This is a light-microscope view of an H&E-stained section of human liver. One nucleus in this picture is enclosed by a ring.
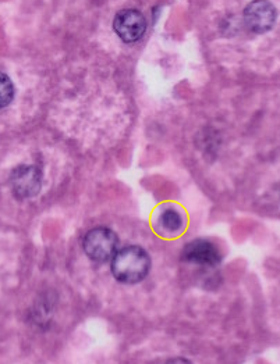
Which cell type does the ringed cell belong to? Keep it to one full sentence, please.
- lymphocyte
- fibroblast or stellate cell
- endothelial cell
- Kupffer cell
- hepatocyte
In this tissue section, the ringed cell is to be classed as a lymphocyte.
